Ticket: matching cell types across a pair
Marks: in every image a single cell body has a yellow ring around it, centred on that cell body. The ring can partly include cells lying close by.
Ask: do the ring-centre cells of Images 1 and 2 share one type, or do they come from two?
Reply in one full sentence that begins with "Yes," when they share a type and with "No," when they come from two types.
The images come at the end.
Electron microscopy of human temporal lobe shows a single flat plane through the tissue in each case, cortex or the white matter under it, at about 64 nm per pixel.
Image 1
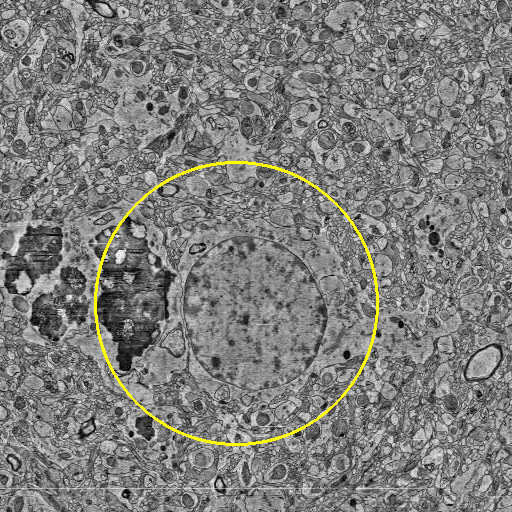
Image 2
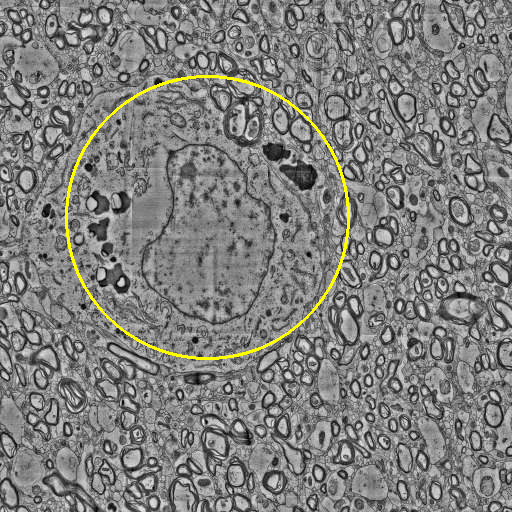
No, the cells in the centres of the rings in Image 1 and Image 2 come from two types.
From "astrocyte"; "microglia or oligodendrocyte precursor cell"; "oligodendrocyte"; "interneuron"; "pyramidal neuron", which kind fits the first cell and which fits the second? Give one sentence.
The cell marked in the first picture is an astrocyte, and the one marked in the second is a pyramidal neuron.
